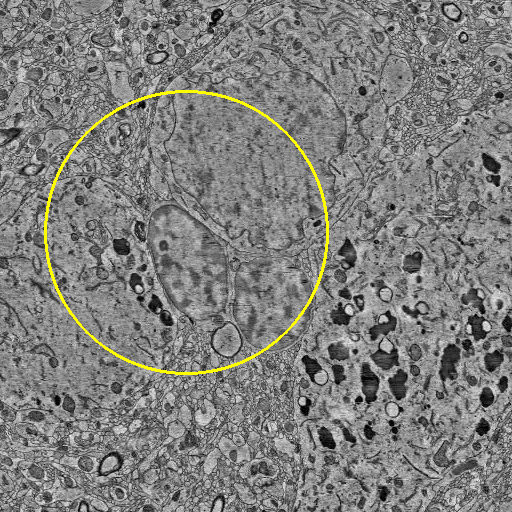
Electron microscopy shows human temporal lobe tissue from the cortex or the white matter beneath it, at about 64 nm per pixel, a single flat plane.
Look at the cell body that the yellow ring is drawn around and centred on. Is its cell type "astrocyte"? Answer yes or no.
no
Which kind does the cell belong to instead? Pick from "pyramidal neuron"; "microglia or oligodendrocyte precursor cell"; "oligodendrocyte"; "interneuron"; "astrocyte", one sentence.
Here, the ring is centred on an oligodendrocyte instead.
